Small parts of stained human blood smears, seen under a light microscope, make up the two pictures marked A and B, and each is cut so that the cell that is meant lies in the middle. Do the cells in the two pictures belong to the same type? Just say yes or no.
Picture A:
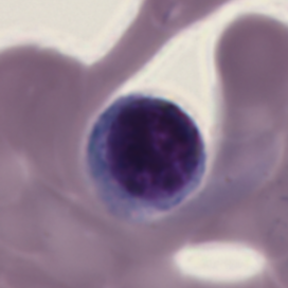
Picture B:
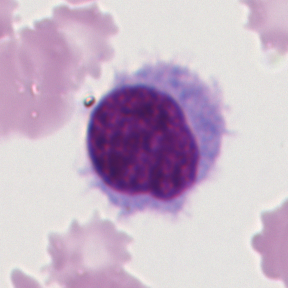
no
